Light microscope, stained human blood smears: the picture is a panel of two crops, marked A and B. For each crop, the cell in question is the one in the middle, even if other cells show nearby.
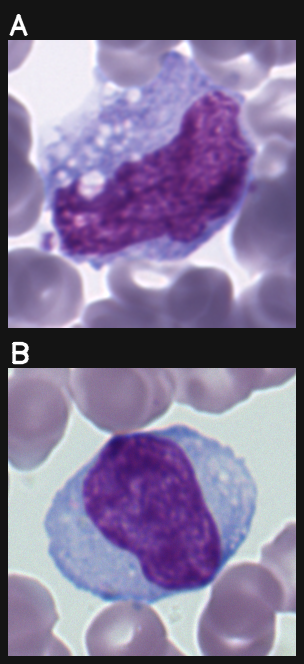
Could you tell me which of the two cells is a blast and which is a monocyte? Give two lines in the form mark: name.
A: monocyte
B: blast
